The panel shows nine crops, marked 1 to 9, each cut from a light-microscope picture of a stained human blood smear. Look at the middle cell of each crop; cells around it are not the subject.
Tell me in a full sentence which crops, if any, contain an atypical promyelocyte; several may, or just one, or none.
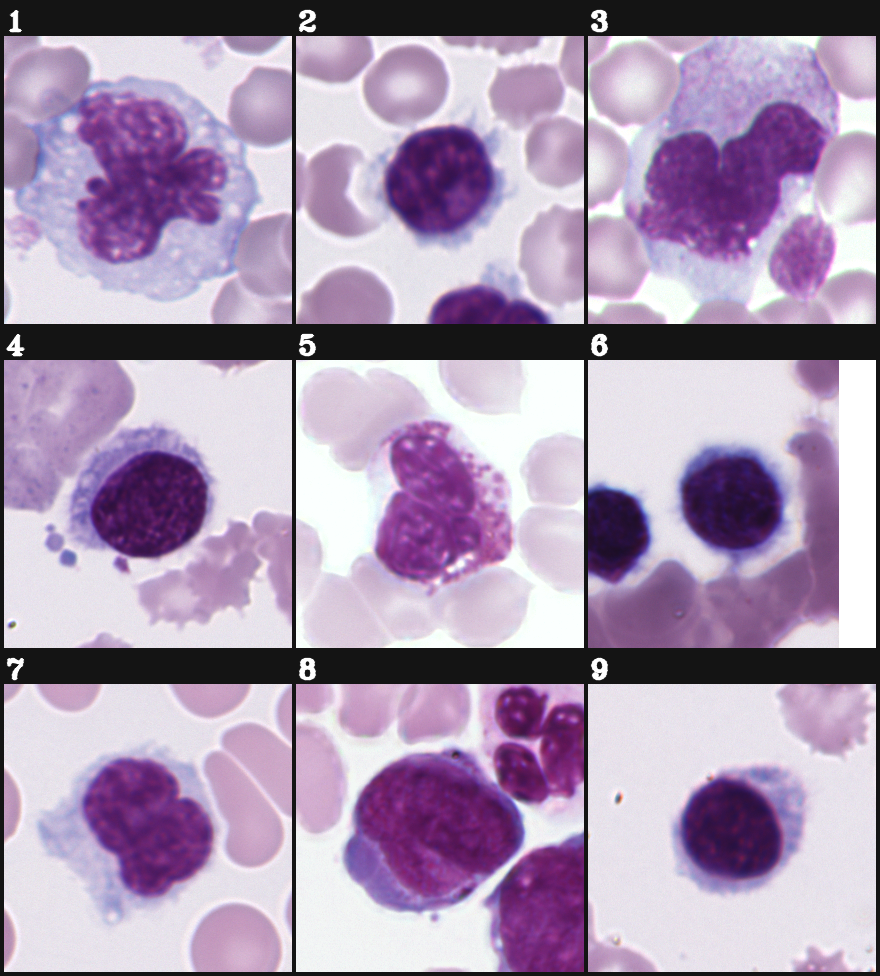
Crop 8 stands alone as the crop containing an atypical promyelocyte.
